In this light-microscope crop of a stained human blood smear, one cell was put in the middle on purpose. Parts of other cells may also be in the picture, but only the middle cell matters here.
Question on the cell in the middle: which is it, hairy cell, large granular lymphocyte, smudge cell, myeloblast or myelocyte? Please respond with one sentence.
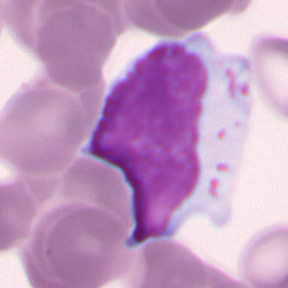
To answer, the cell in the center of the crop is a large granular lymphocyte.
